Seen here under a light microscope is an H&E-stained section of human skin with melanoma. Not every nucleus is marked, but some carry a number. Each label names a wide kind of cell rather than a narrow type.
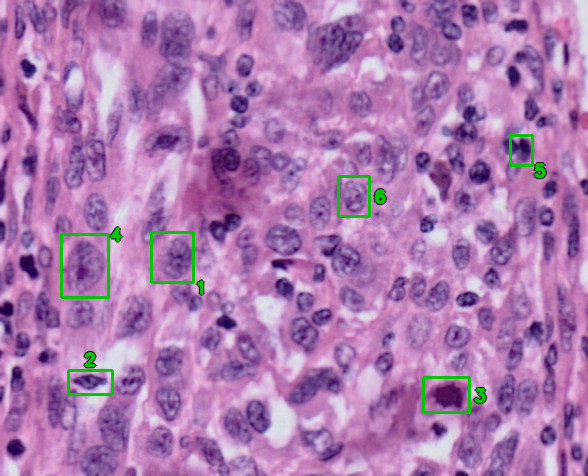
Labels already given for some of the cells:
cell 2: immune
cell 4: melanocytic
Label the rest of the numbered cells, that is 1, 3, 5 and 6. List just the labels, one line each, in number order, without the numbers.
melanocytic
melanocytic
immune
melanocytic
